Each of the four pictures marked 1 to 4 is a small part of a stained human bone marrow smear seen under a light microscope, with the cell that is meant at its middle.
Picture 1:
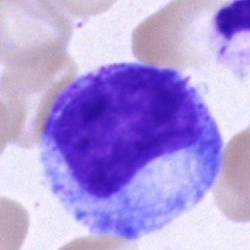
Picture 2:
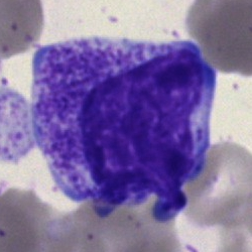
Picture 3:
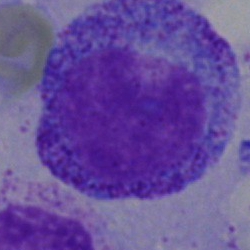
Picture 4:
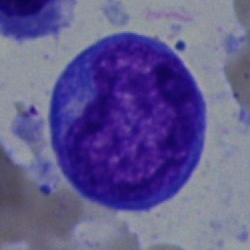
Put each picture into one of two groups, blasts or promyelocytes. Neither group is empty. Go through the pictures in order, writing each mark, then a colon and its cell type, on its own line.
1: promyelocyte
2: promyelocyte
3: promyelocyte
4: blast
